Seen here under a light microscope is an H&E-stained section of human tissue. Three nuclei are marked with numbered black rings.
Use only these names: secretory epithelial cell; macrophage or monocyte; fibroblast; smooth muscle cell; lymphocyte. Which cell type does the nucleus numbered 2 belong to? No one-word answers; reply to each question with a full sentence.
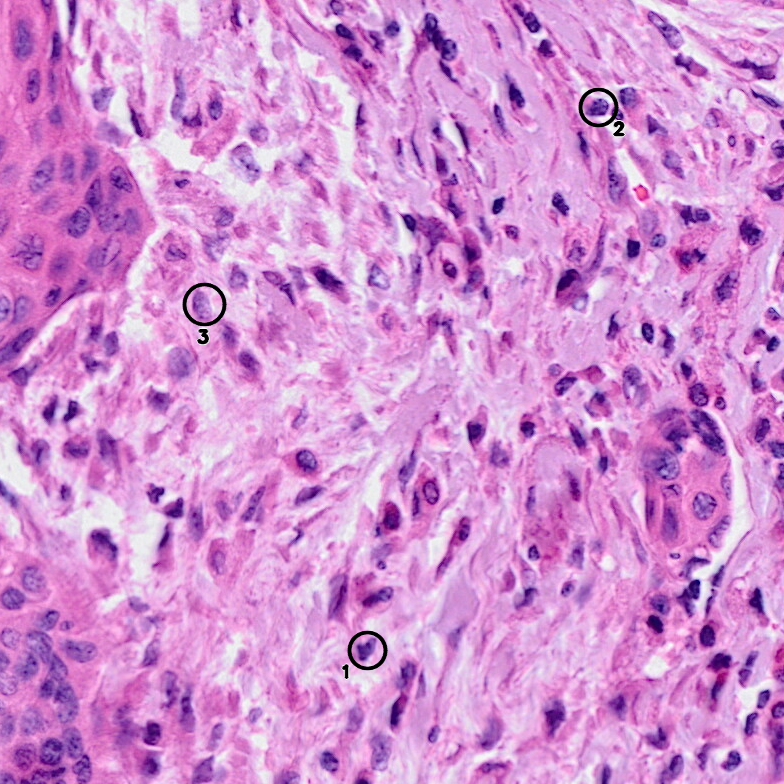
In this section, the cell numbered 2 is a lymphocyte.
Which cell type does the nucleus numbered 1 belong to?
The numbered cell 1 in this field is a lymphocyte.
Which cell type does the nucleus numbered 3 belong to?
The cell that goes by number 3 is a fibroblast.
